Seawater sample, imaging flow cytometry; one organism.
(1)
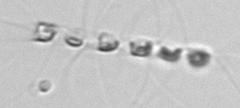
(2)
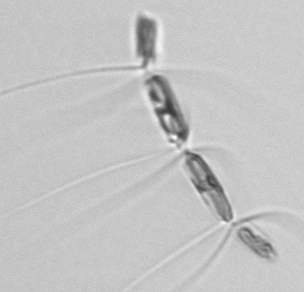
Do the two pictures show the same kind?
Yes, both are Chaetoceros.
